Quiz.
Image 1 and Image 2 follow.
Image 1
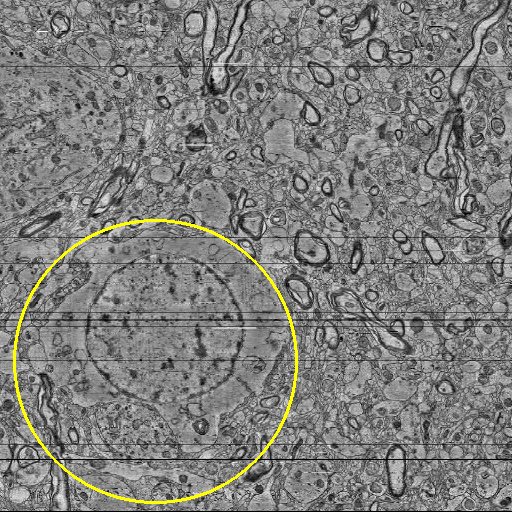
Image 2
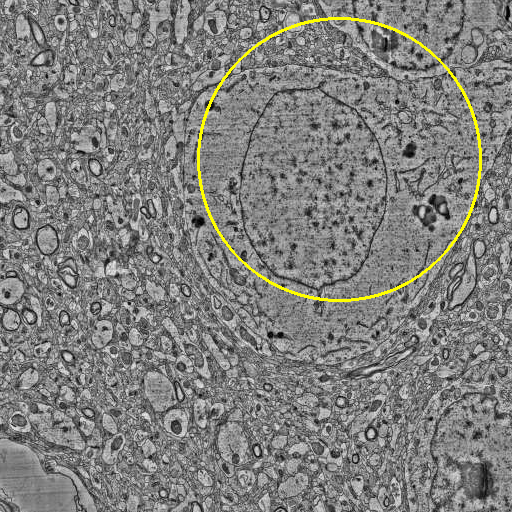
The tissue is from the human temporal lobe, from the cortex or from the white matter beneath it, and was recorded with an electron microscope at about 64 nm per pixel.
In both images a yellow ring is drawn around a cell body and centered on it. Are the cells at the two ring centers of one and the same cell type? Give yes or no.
no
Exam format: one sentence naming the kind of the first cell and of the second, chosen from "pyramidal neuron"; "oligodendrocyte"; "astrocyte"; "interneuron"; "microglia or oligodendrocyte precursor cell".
The first picture's cell is an astrocyte, and the second picture's cell is a pyramidal neuron.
